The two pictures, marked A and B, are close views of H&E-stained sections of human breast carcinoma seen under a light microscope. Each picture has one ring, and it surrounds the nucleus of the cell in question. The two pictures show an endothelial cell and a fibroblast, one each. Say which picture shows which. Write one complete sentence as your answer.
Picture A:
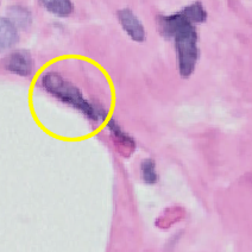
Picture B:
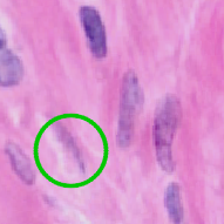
Picture B shows a fibroblast, while picture A shows an endothelial cell.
